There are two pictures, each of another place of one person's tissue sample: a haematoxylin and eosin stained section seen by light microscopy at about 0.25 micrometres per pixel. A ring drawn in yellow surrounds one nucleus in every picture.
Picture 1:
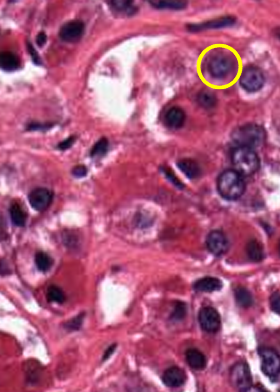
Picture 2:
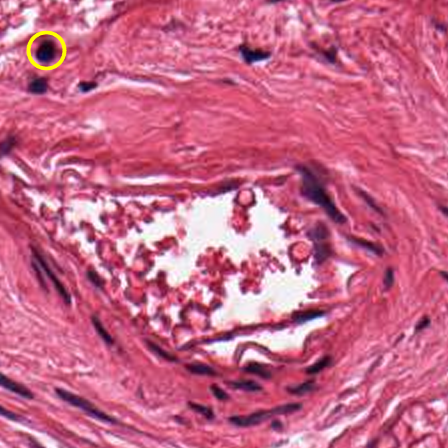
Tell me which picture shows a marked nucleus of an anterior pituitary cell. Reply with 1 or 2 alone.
1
